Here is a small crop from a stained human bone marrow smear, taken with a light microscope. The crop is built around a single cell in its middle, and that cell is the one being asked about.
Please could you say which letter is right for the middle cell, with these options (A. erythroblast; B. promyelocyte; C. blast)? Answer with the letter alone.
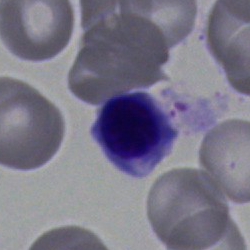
A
